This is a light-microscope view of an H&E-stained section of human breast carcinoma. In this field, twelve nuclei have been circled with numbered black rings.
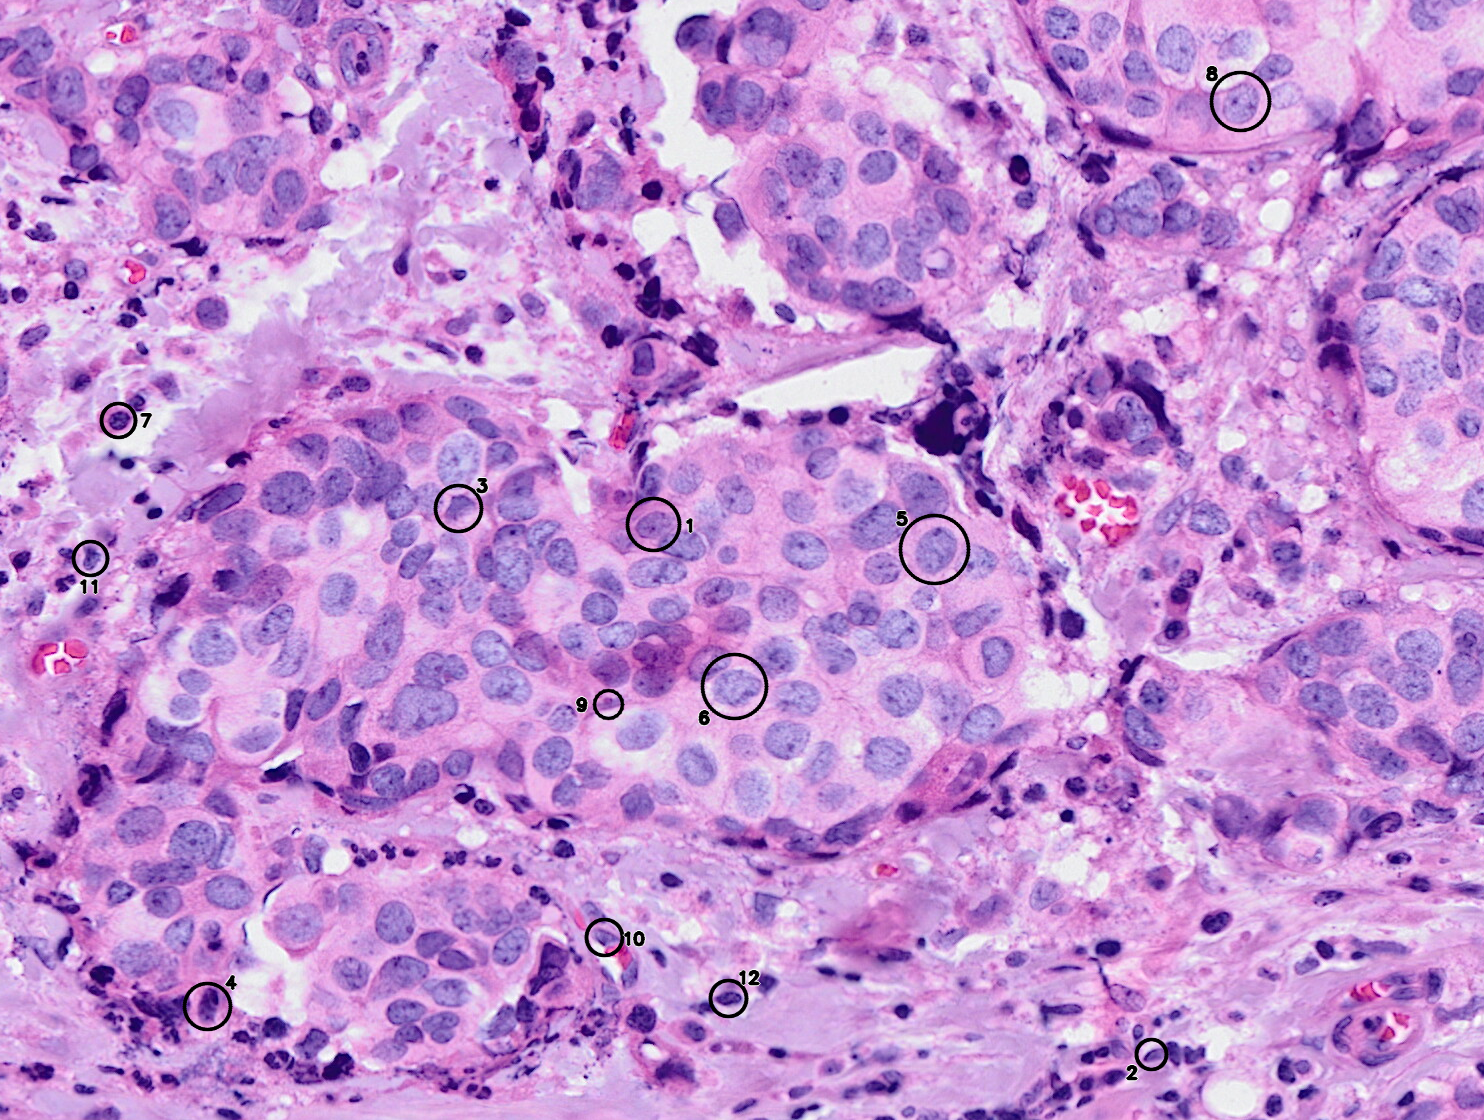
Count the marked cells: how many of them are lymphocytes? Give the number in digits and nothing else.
3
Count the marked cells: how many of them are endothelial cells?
1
